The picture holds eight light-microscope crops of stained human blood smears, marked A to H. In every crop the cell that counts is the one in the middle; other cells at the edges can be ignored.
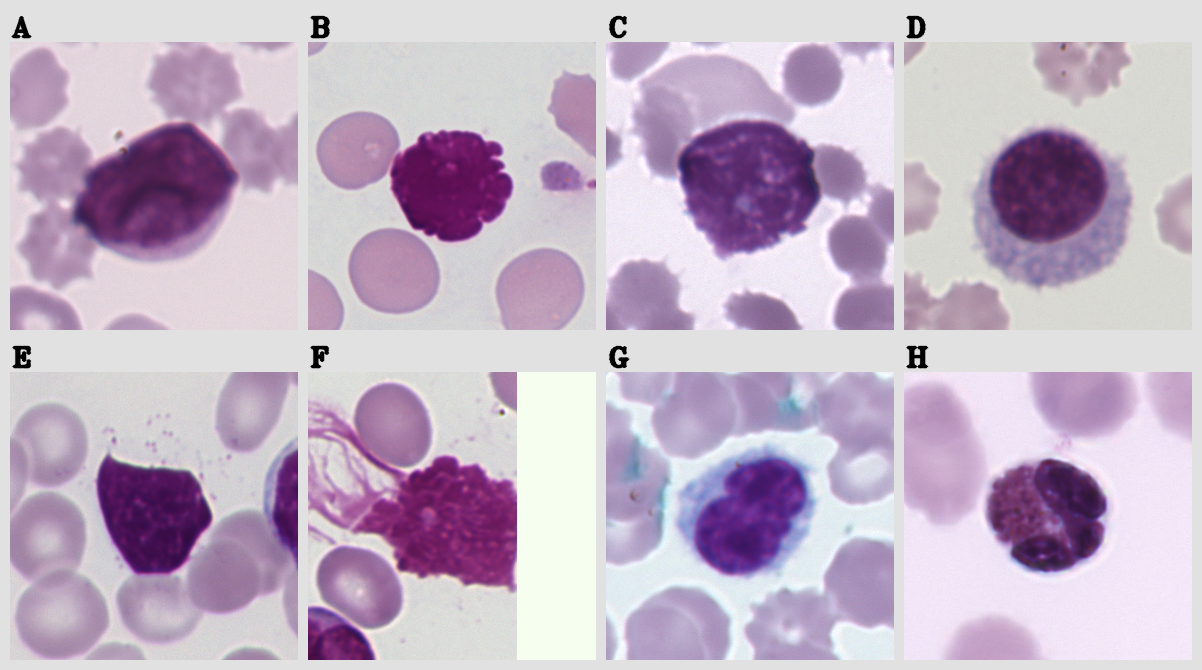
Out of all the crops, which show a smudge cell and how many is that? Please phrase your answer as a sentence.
Crops B, C, E and F show smudge cells, which makes four such crops.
